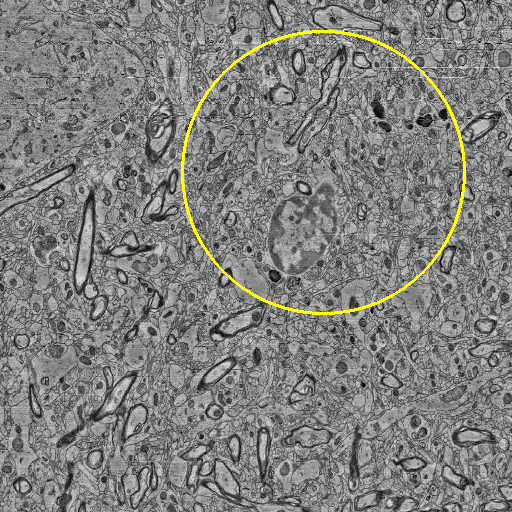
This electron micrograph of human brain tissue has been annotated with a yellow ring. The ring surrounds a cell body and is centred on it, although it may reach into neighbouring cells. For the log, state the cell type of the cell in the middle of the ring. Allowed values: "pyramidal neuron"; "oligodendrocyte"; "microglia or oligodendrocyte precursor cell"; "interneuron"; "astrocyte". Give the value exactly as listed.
microglia or oligodendrocyte precursor cell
